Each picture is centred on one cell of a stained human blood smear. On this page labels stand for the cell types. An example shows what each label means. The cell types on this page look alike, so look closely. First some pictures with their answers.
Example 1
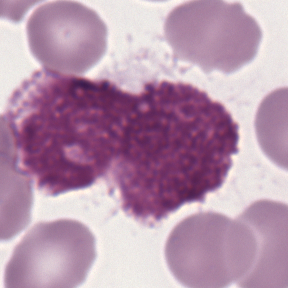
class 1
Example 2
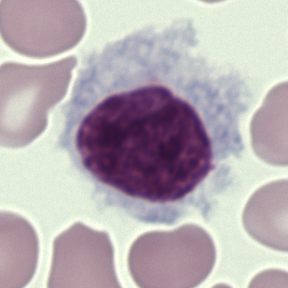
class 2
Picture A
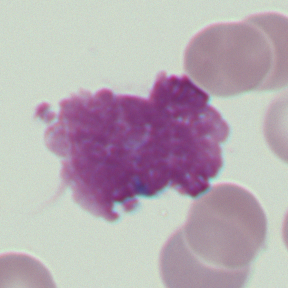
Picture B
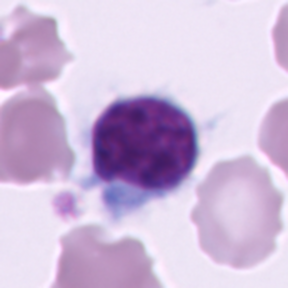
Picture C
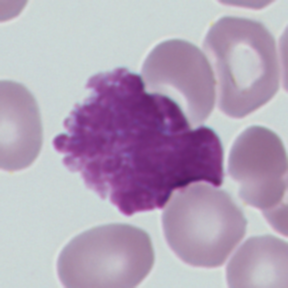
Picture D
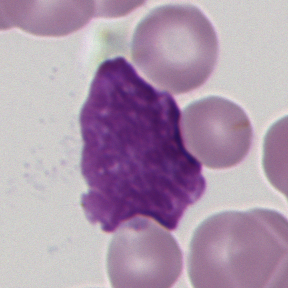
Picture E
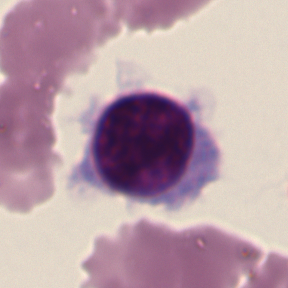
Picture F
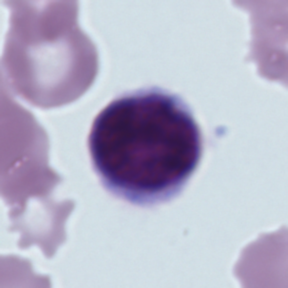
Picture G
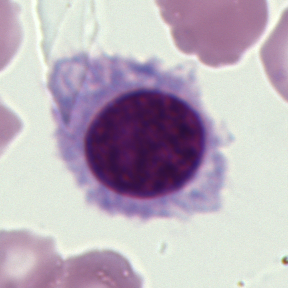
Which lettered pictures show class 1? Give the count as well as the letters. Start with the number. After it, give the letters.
3, namely A, C, D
